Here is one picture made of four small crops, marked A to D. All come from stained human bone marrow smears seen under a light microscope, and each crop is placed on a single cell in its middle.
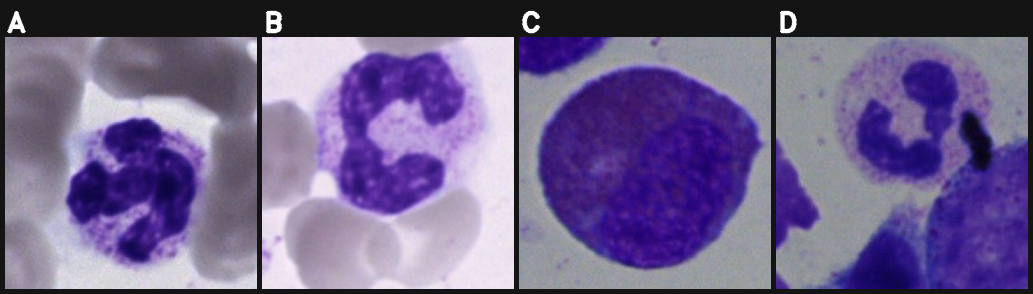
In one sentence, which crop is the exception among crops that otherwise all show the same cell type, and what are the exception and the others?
Crop C stands apart from the rest as an eosinophil, the others all being segmented neutrophils.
